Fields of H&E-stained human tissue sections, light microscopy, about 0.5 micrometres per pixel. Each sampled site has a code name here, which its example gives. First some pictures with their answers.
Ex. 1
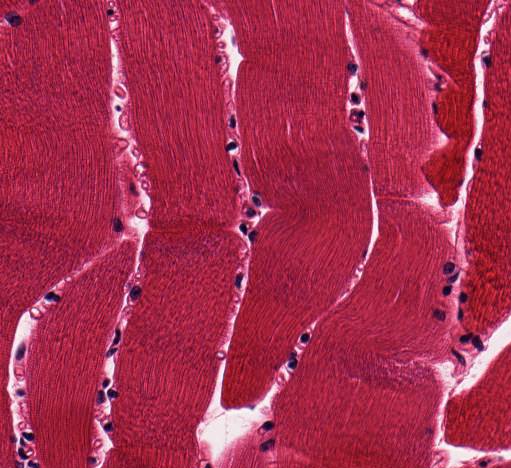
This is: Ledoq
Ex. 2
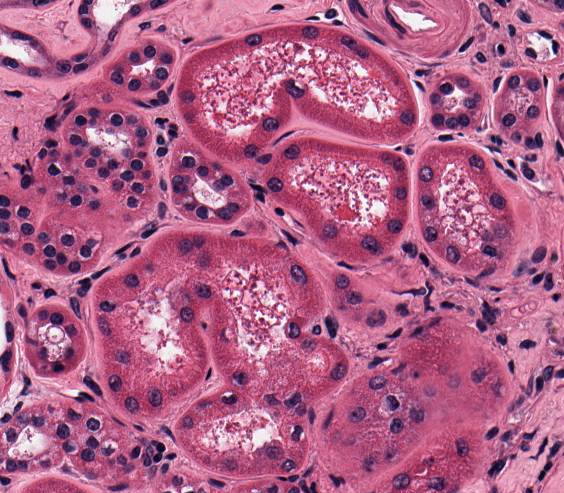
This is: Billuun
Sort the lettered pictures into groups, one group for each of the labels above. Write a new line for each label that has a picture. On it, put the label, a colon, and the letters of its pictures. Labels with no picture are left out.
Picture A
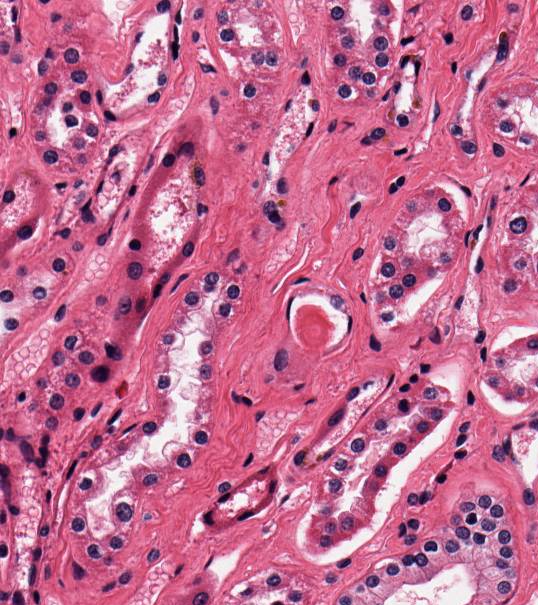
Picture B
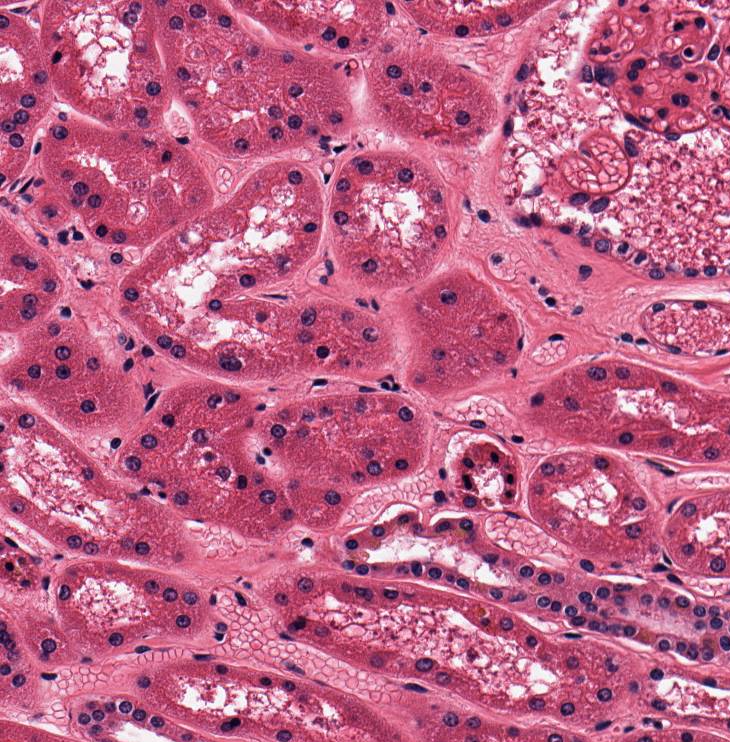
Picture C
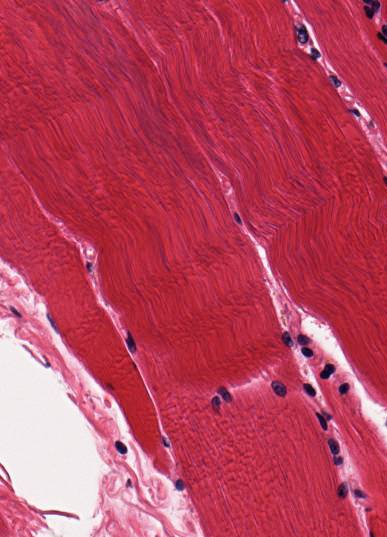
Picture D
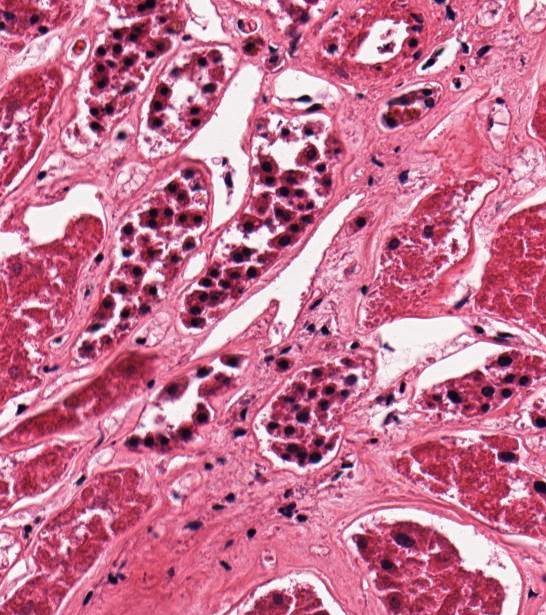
Ledoq: C
Billuun: A, B, D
